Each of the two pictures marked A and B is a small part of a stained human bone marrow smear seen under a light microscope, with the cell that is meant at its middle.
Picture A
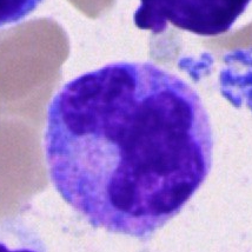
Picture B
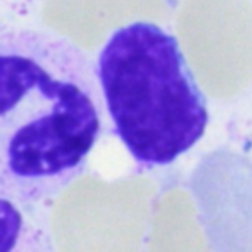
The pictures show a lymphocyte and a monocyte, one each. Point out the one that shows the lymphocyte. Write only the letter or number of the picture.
B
